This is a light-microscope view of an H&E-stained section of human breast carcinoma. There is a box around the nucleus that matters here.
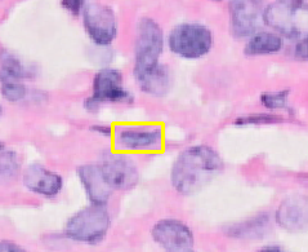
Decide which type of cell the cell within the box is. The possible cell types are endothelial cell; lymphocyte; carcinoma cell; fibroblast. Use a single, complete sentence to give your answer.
As a matter of cell type, the cell within the box is an endothelial cell.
